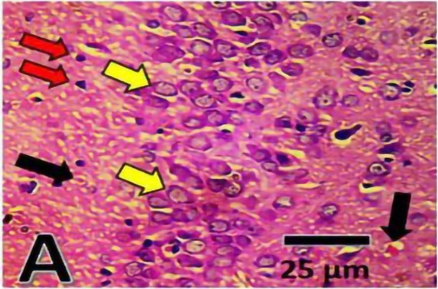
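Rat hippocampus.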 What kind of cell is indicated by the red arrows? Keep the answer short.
Glial cells.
